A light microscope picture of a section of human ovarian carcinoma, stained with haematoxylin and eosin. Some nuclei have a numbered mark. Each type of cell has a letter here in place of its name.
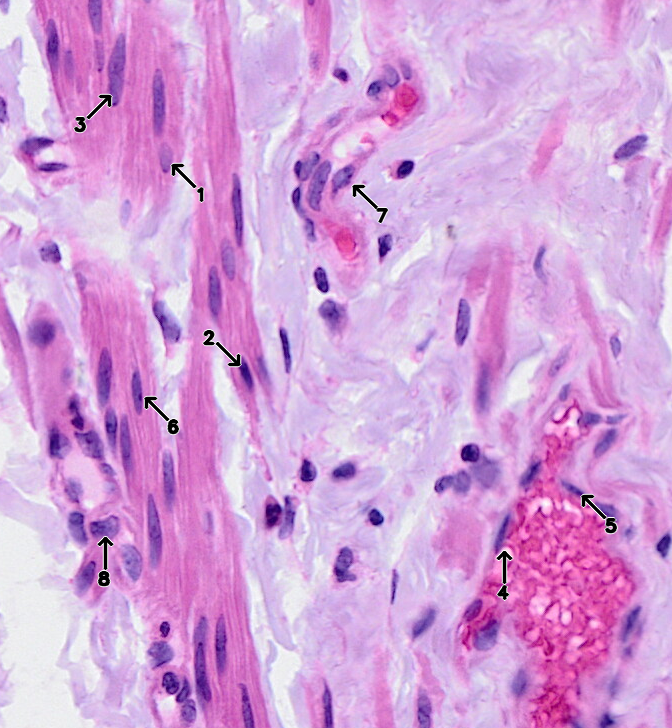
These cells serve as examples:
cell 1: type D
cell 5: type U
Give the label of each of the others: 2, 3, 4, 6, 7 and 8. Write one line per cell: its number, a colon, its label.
2: type D
3: type D
4: type U
6: type D
7: type U
8: type U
